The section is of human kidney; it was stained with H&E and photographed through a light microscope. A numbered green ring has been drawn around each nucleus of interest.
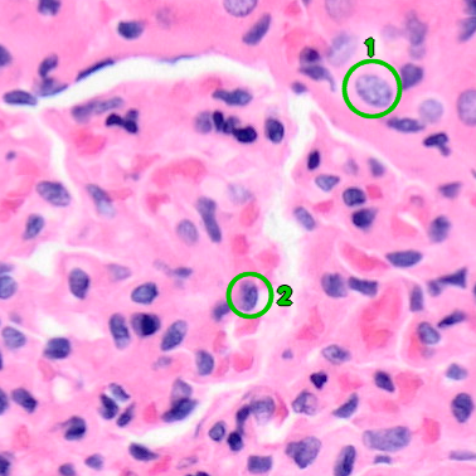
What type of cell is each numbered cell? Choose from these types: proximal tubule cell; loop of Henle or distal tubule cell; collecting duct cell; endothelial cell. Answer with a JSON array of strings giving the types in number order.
["collecting duct cell", "endothelial cell"]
